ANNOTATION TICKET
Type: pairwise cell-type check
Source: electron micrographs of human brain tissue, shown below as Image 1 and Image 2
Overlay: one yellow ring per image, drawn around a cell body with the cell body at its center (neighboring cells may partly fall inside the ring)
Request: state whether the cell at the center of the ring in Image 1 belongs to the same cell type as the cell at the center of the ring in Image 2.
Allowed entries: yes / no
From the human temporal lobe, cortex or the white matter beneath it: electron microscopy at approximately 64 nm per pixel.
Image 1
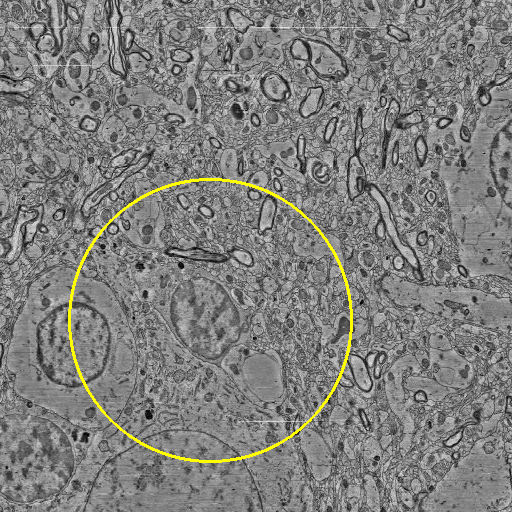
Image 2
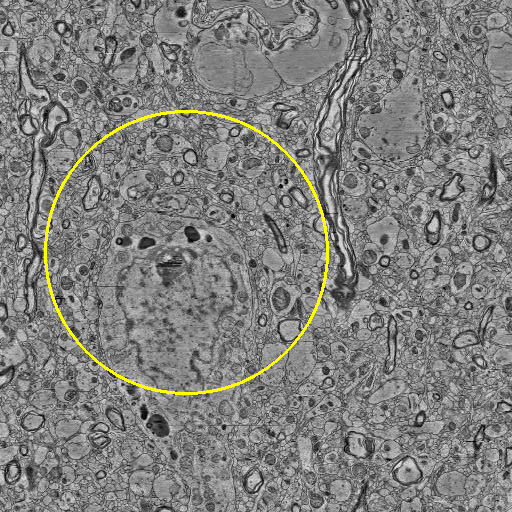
no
